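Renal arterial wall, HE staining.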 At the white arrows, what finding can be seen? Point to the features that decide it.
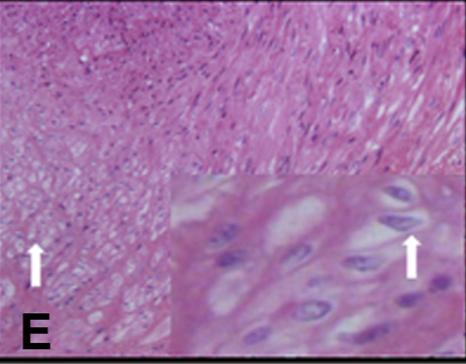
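The arrowed region holds cells with clear, empty-looking spaces in the cytoplasm. In the inset, pale vacuoles sit beside oval purple nuclei. So: vacuolar degeneration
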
